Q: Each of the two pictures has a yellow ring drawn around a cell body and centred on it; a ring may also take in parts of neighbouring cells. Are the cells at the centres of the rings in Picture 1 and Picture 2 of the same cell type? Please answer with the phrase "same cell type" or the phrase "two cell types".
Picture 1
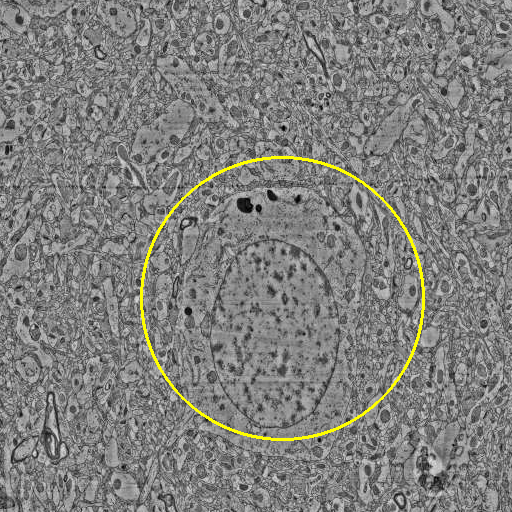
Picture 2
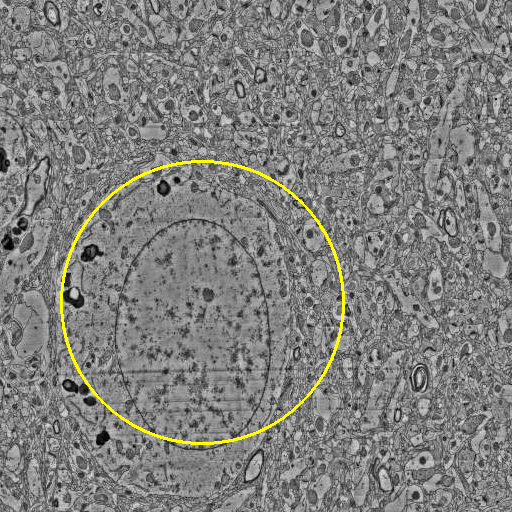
same cell type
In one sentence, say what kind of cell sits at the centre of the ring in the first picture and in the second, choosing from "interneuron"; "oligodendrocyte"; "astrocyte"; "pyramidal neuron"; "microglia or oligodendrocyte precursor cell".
Each cell at the centre of a ring is a pyramidal neuron.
